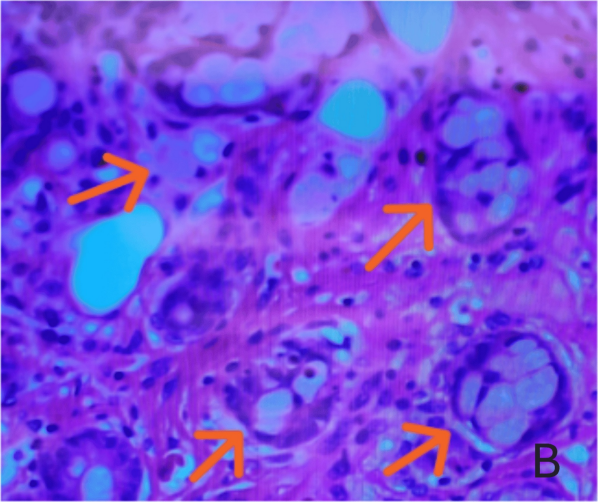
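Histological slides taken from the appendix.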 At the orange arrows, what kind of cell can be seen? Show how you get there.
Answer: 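Signet ring goblet cells. Small rounded clusters of cells filled with pale mucin. Nuclei are pushed to the edge of the clusters. The clusters lie within pink fibrous stroma.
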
